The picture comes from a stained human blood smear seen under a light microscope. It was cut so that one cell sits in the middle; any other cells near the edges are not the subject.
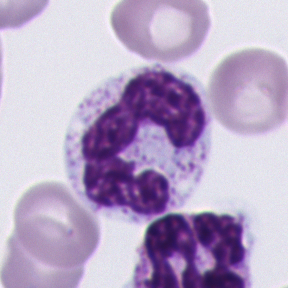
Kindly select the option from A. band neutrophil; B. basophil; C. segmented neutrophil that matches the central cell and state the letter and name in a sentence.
The central cell, a segmented neutrophil, is correctly identified by option C.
